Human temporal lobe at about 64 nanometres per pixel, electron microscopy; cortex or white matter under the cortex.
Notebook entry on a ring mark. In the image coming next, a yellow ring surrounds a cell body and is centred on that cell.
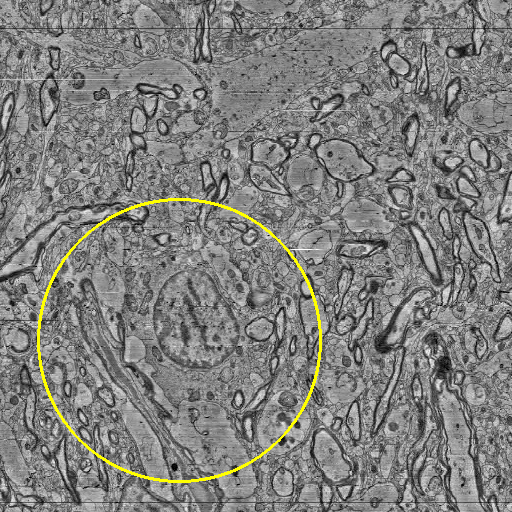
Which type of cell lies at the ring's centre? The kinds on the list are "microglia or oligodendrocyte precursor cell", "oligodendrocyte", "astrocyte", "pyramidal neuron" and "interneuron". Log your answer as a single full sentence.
Centred in the yellow ring is an oligodendrocyte, the cell recorded for this image.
